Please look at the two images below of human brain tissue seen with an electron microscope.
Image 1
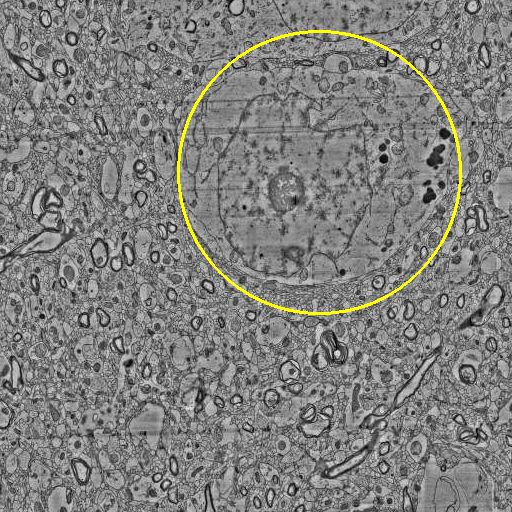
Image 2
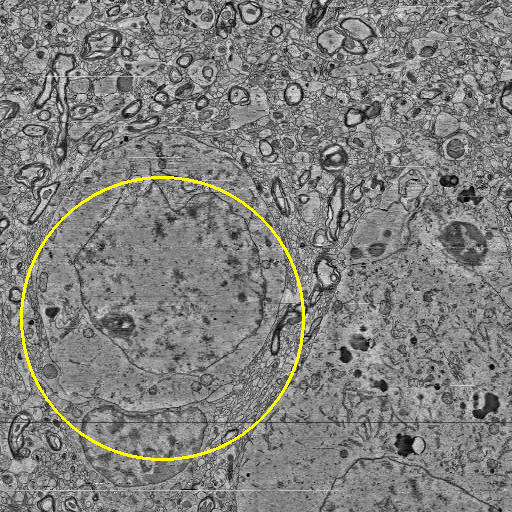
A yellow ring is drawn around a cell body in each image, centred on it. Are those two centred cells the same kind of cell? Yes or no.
yes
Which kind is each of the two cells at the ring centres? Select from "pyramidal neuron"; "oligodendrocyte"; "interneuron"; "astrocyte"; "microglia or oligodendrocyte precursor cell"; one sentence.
In the first picture and in the second, the ring is centred on an interneuron.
